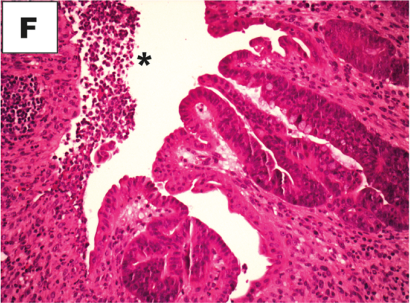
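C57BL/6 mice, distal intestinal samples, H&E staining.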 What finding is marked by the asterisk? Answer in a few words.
Inflammatory infiltrate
